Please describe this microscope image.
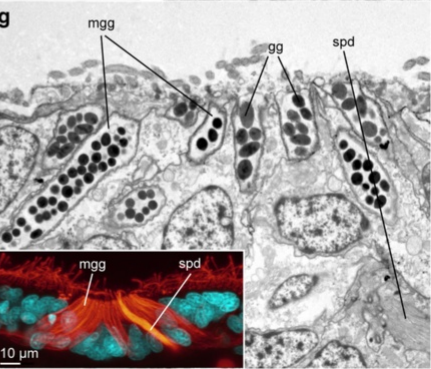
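Electron micrograph of the body surface with gland cells whose elongated necks, filled with round, electron-dense secretory granules, extend up toward the surface. Rounded nuclei with dispersed chromatin lie in the tissue beneath. The fluorescence inset shows cyan nuclei and red-orange fibres converging toward one point of the surface.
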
